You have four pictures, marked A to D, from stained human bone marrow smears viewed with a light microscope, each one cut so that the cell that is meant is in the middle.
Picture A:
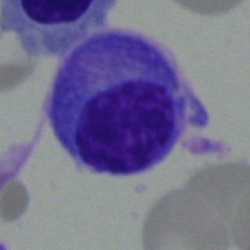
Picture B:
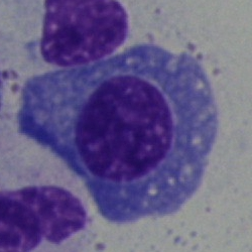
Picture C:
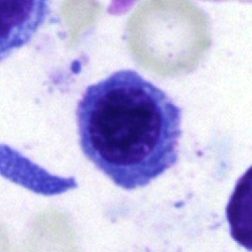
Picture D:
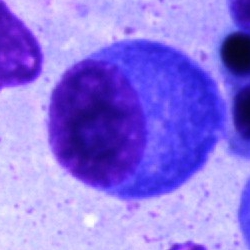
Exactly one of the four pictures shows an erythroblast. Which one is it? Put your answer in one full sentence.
The erythroblast is the one in picture C.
